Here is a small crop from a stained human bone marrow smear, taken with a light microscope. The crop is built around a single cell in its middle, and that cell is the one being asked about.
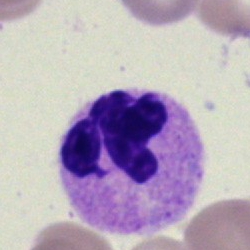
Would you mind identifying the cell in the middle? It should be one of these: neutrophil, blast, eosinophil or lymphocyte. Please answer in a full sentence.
Seen at the centre of the crop is a neutrophil.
